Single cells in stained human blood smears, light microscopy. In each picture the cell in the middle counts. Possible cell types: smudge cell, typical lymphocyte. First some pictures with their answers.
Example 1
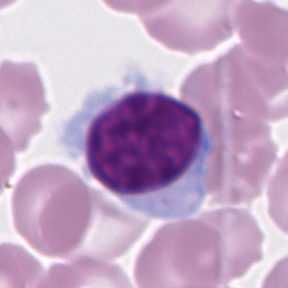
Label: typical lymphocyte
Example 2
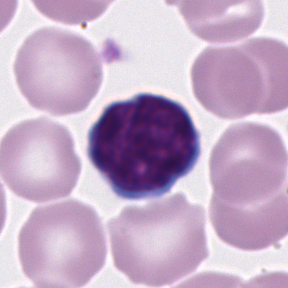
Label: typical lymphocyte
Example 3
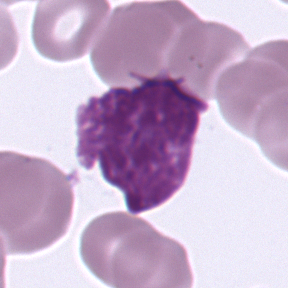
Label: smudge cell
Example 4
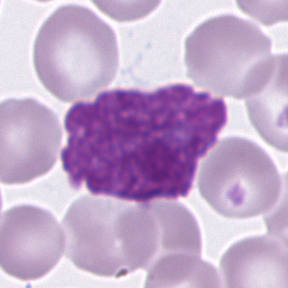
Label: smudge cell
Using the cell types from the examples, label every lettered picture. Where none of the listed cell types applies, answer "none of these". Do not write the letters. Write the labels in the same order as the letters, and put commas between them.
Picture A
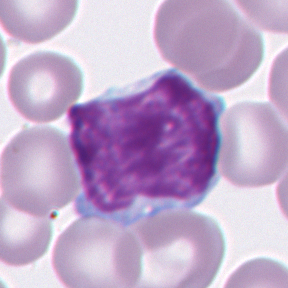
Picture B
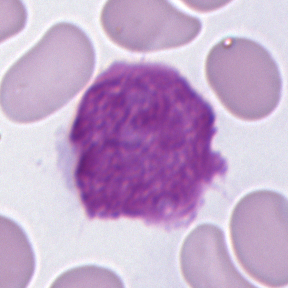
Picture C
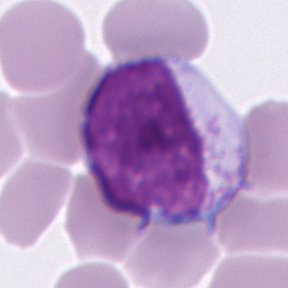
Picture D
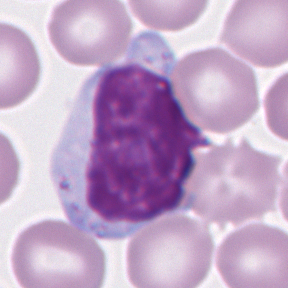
typical lymphocyte, smudge cell, none of these, none of these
